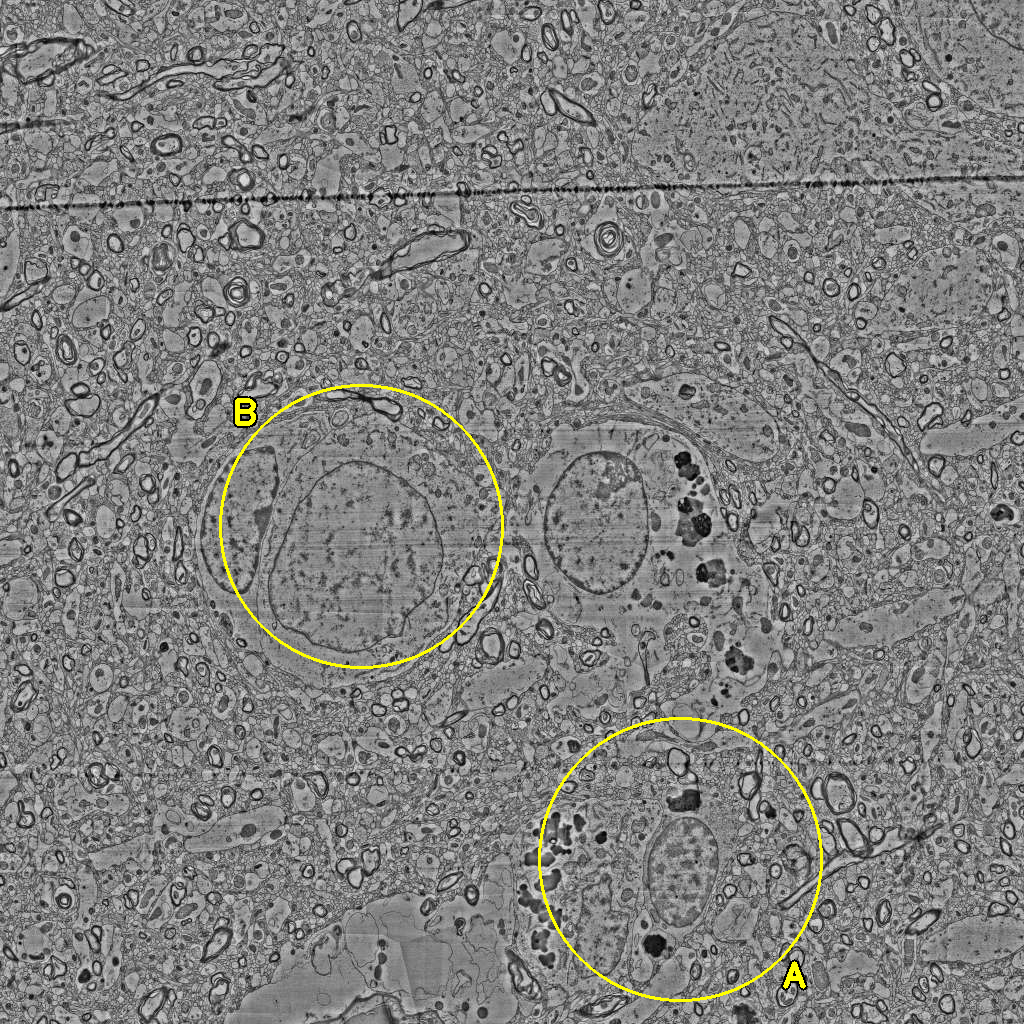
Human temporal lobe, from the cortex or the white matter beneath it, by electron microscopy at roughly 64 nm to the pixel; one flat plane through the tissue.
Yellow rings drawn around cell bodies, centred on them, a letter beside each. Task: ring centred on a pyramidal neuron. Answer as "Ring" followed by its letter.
Ring B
